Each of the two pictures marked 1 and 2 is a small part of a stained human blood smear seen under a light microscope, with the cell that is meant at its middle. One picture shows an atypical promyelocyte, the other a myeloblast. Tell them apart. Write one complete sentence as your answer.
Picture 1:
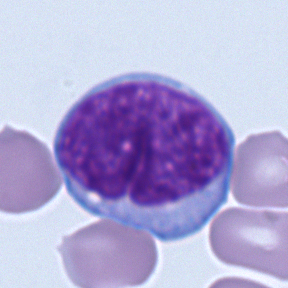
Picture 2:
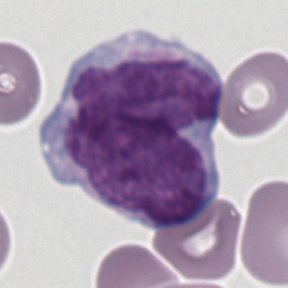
Picture 1 is of a myeloblast, and picture 2 is of an atypical promyelocyte.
